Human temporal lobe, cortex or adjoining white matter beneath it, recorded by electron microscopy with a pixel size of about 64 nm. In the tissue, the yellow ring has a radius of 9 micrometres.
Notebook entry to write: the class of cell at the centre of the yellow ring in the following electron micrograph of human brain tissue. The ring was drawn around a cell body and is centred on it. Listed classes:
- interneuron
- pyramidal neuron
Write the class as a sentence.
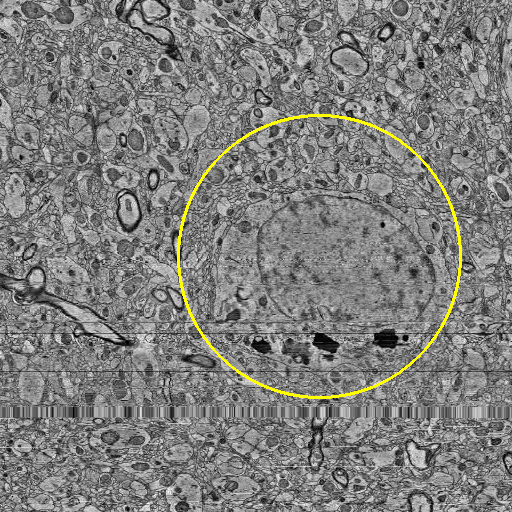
The yellow ring sits on an interneuron.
